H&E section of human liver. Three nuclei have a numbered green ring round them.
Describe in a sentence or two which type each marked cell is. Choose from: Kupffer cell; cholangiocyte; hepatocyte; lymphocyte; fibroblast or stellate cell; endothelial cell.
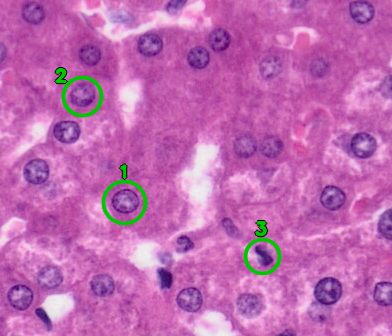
Cells 1 and 2 are hepatocytes. Cell 3 is an endothelial cell.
